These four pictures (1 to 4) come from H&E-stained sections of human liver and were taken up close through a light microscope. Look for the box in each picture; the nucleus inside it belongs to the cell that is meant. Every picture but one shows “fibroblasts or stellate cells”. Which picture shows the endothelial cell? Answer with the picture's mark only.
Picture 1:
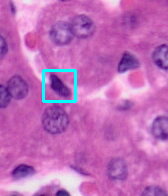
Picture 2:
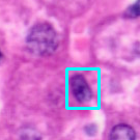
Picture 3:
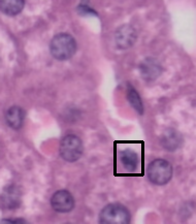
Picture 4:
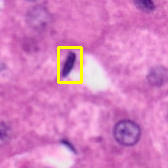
4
